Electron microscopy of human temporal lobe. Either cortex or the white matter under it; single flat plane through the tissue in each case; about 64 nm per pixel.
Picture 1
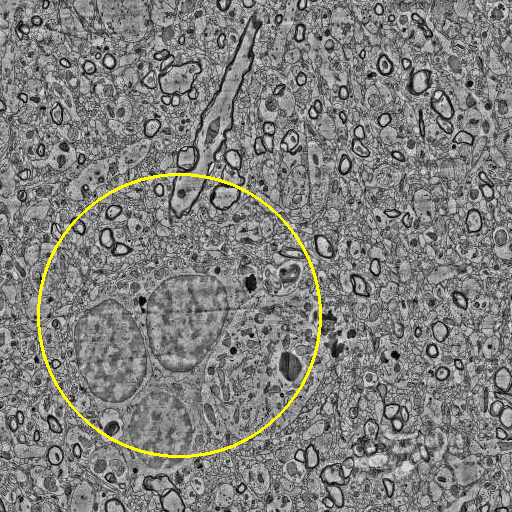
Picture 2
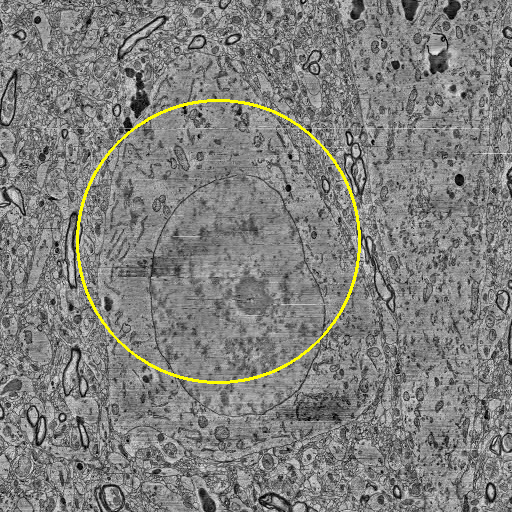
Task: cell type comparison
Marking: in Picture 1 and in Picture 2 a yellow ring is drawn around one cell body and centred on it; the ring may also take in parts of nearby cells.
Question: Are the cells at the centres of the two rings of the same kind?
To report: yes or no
no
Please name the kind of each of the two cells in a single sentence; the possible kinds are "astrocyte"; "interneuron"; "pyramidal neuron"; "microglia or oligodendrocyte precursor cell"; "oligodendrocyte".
In the first picture the ring is centred on an oligodendrocyte, and in the second on a pyramidal neuron.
